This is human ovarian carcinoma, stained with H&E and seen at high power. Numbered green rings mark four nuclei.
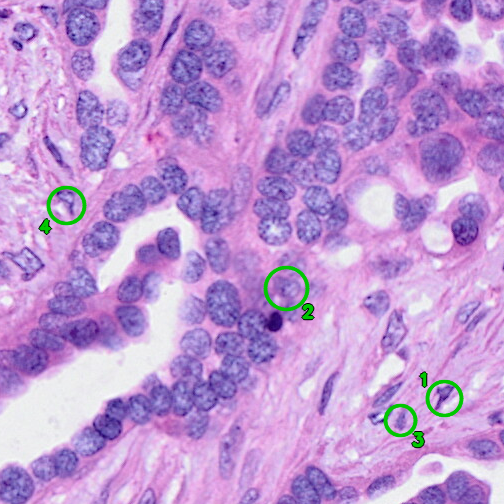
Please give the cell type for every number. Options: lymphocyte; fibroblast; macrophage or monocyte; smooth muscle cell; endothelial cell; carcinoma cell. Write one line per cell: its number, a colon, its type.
1: fibroblast
2: carcinoma cell
3: fibroblast
4: fibroblast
